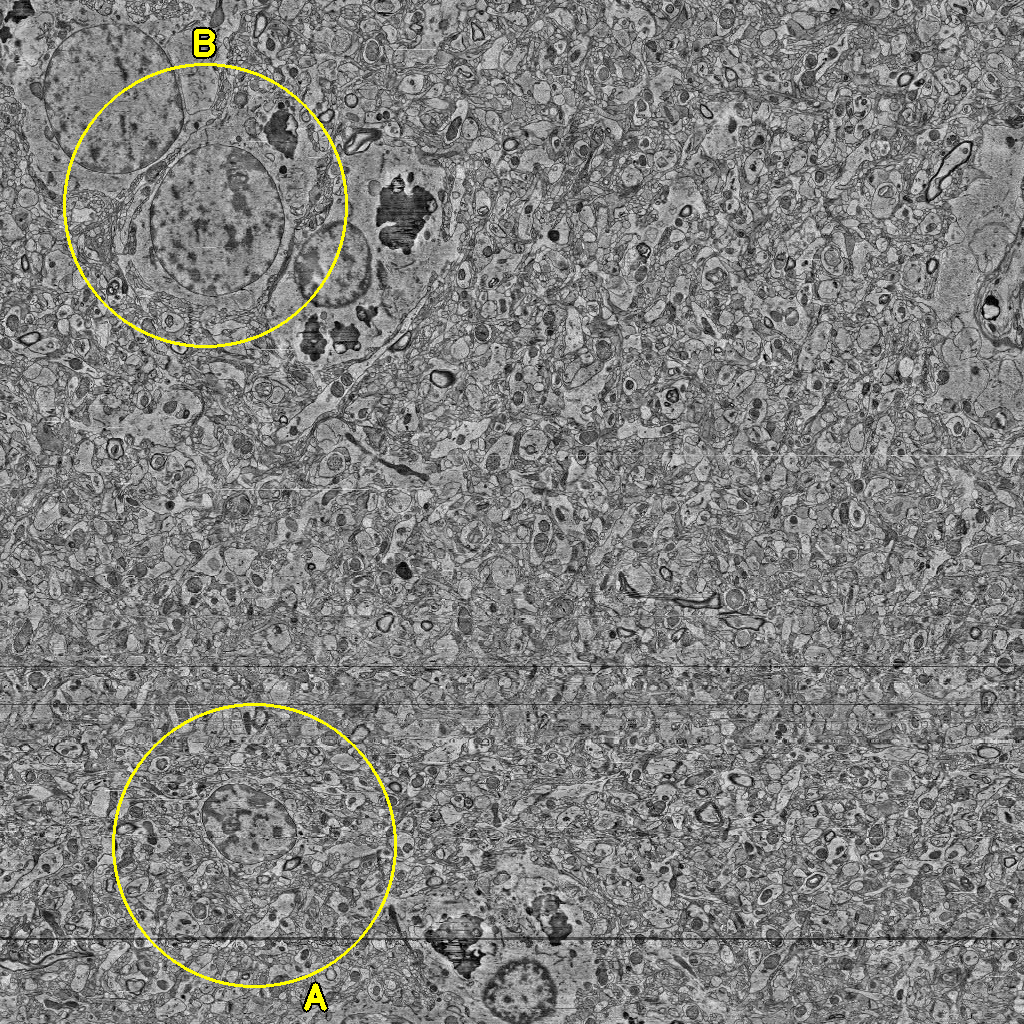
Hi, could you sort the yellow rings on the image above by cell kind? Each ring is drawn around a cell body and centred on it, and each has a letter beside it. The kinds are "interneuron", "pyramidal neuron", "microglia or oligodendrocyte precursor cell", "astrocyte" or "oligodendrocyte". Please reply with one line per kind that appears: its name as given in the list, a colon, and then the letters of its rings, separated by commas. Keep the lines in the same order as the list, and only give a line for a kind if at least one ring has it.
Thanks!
microglia or oligodendrocyte precursor cell: A
astrocyte: B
